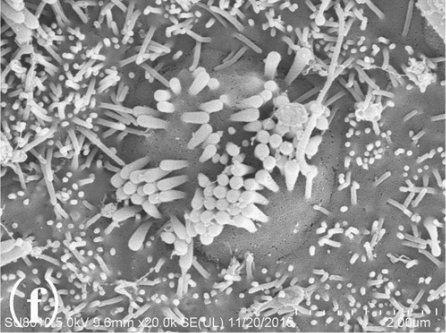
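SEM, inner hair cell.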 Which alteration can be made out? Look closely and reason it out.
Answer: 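Severely truncated. The stereocilia are short, stubby and club-ended. The bundle is loosely arranged rather than a tall orderly row.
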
